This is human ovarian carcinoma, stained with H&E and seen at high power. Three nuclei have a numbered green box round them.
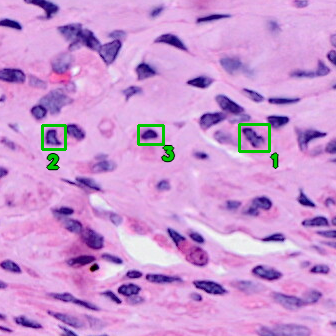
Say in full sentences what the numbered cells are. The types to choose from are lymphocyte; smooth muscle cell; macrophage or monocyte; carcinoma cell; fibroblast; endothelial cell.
Cell 1 is an endothelial cell. Cells 2 and 3 are smooth muscle cells.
